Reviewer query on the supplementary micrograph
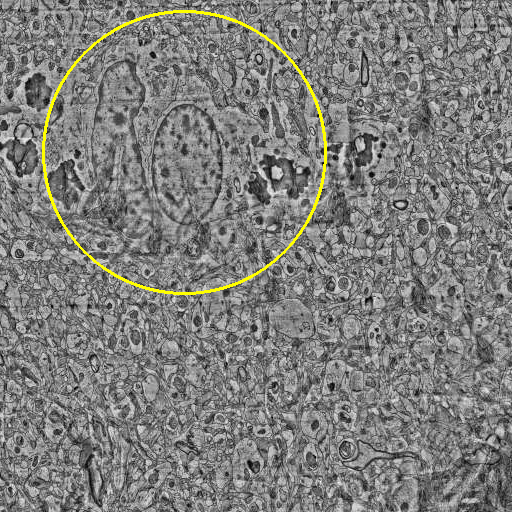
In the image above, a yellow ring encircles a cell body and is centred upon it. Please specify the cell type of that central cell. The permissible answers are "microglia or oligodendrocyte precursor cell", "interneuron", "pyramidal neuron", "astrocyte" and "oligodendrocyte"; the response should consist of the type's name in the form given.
astrocyte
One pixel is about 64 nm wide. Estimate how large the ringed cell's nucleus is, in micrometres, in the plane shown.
Roughly 8 micrometres long and 5 micrometres wide; in this plane the nucleus is clearly longer than it is wide.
